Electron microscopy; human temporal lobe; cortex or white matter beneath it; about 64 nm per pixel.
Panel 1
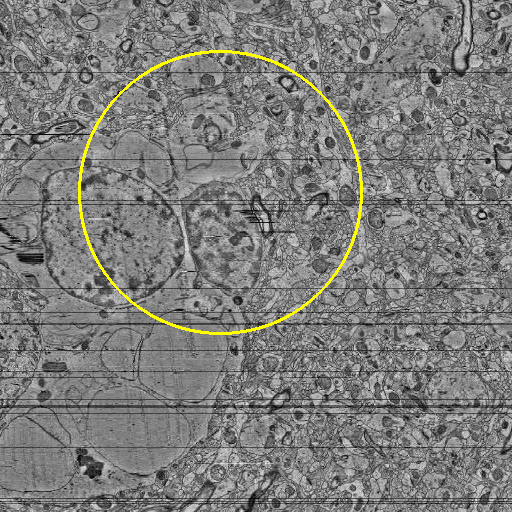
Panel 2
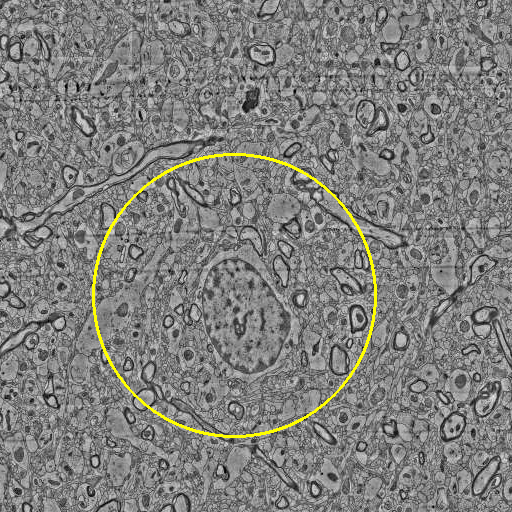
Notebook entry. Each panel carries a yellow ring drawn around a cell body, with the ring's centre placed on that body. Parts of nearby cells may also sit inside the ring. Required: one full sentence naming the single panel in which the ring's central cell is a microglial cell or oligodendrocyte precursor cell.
Panel 2 is the single one with the sought cell at its ring's centre.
